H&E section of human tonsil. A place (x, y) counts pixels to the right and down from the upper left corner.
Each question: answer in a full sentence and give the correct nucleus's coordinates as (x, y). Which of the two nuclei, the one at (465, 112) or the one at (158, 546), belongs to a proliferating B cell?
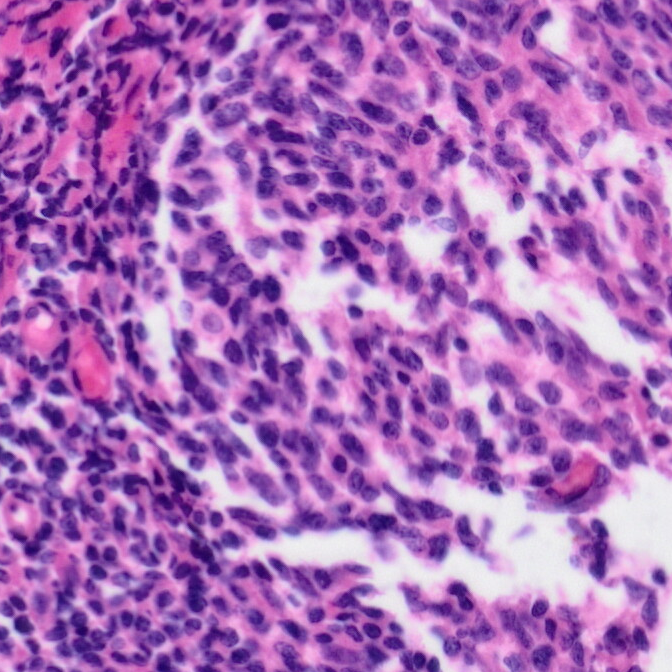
The nucleus at (465, 112) belongs to a proliferating B cell, which distinguishes it from the other nucleus.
